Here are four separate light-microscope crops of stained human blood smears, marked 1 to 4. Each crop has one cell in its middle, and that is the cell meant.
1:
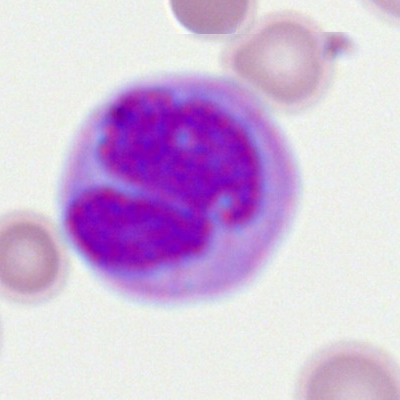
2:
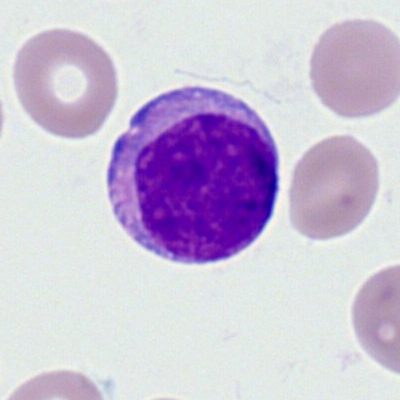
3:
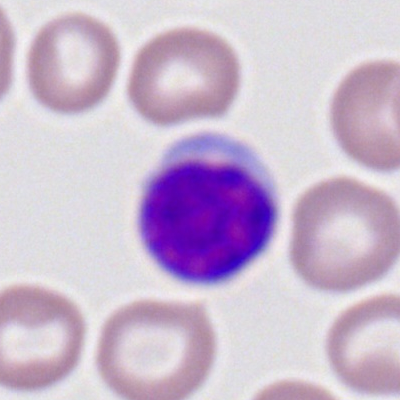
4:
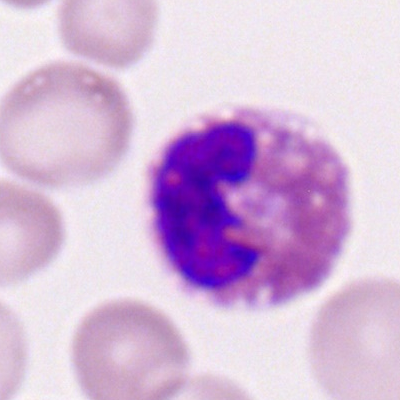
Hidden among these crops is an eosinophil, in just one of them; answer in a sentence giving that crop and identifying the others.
Crop 4 has an eosinophil as its central cell, while crop 1 is a monocyte, crop 2 is a myeloblast and crop 3 is a lymphocyte.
